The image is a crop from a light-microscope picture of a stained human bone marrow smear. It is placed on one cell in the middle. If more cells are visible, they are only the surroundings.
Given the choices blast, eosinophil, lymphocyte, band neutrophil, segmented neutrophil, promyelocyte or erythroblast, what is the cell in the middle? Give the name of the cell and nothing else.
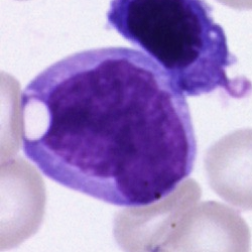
blast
